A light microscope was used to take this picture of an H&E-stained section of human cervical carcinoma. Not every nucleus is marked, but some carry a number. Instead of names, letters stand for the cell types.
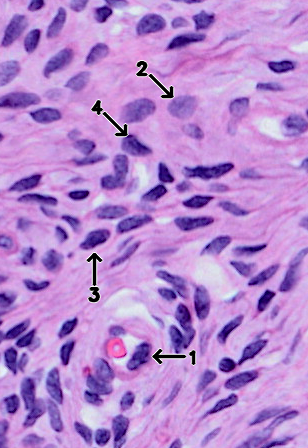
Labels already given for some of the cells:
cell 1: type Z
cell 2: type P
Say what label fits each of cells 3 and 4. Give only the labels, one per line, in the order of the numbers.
type P
type P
